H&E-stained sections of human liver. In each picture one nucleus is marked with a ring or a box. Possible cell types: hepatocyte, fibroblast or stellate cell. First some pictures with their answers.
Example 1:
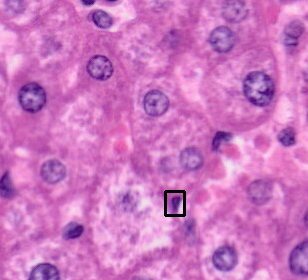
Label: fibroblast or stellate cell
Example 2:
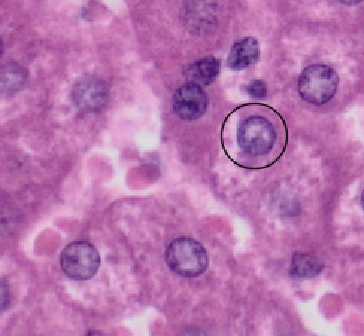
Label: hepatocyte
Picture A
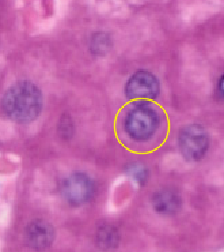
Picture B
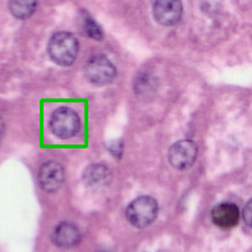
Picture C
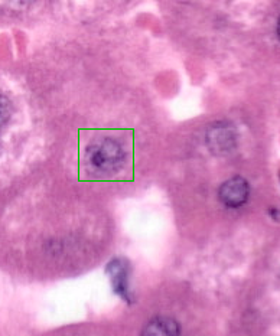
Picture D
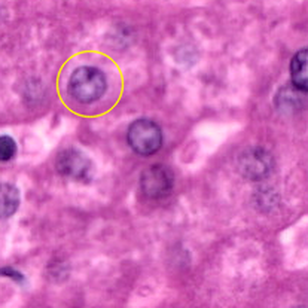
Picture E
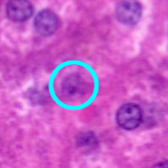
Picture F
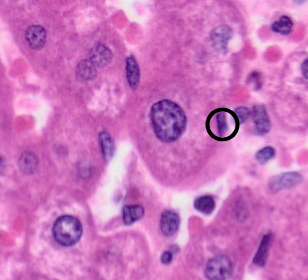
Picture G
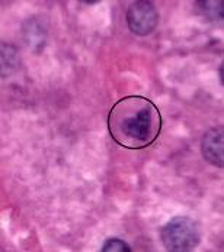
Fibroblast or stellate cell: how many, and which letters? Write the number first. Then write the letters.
2, namely F, G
